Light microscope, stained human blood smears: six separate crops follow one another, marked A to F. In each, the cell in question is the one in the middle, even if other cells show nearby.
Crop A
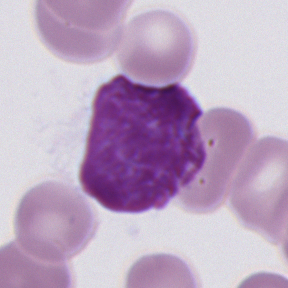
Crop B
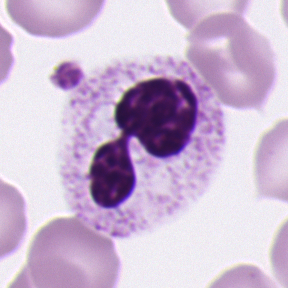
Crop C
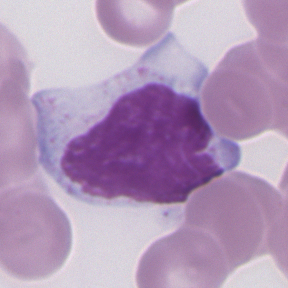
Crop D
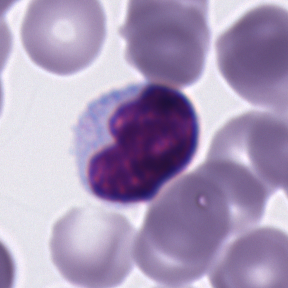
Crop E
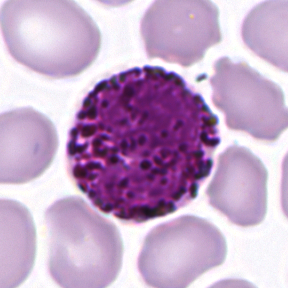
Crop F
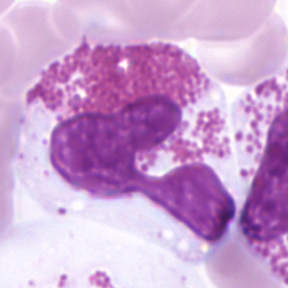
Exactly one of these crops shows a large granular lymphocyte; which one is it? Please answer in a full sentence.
The crop bearing a large granular lymphocyte is crop C.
